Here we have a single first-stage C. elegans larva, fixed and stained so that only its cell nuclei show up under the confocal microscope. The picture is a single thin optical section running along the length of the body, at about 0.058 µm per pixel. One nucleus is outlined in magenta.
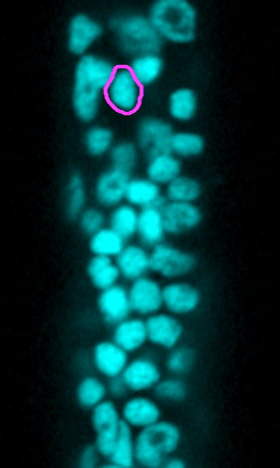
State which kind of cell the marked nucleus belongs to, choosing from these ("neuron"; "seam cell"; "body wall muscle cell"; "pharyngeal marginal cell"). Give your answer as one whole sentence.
It is the nucleus of a pharyngeal marginal cell.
